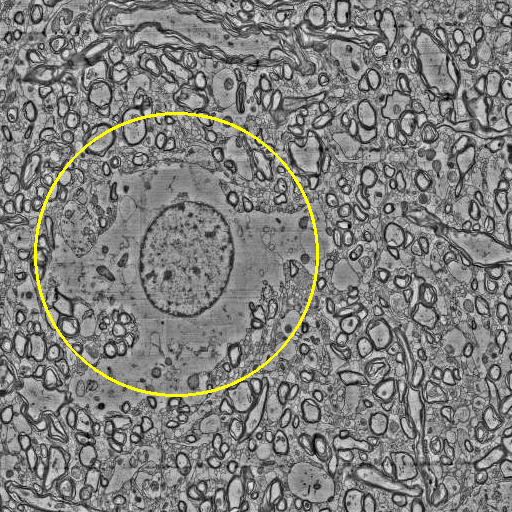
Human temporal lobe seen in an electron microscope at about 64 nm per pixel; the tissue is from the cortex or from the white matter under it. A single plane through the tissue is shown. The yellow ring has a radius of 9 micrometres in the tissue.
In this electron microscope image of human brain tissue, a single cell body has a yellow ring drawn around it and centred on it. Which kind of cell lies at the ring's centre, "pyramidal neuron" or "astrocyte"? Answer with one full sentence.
It is an astrocyte whose cell body lies at the centre of the yellow ring here.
